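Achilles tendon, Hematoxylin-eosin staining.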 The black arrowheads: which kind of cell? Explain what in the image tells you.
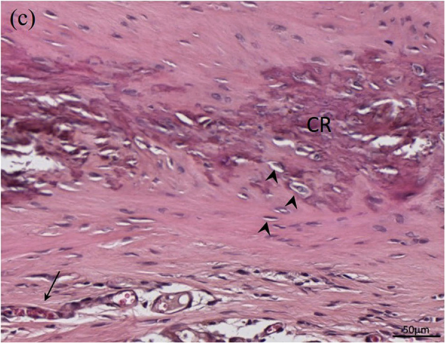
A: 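The arrowheads point to rounded cells lying within clear spaces like lacunae. These cells are rounder than the spindle-shaped tendon cells around them. That points to this answer: chondrocyte-like cells.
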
